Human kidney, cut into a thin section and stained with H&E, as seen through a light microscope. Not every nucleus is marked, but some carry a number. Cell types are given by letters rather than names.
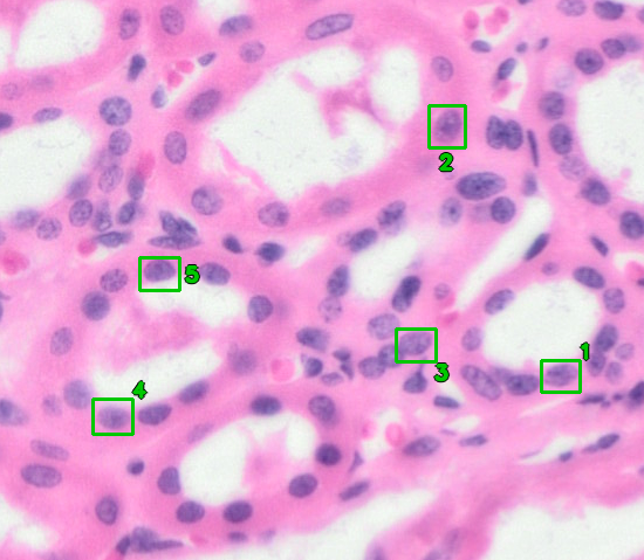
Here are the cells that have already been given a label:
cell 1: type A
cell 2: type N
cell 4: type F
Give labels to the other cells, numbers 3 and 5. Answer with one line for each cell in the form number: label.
3: type A
5: type F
